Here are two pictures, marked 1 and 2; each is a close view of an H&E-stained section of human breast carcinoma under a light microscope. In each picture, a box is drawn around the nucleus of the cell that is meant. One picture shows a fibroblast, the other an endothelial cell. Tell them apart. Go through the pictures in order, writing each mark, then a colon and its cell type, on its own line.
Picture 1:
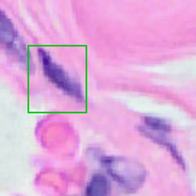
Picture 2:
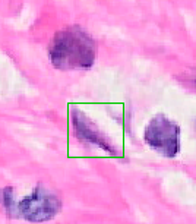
1: endothelial cell
2: fibroblast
